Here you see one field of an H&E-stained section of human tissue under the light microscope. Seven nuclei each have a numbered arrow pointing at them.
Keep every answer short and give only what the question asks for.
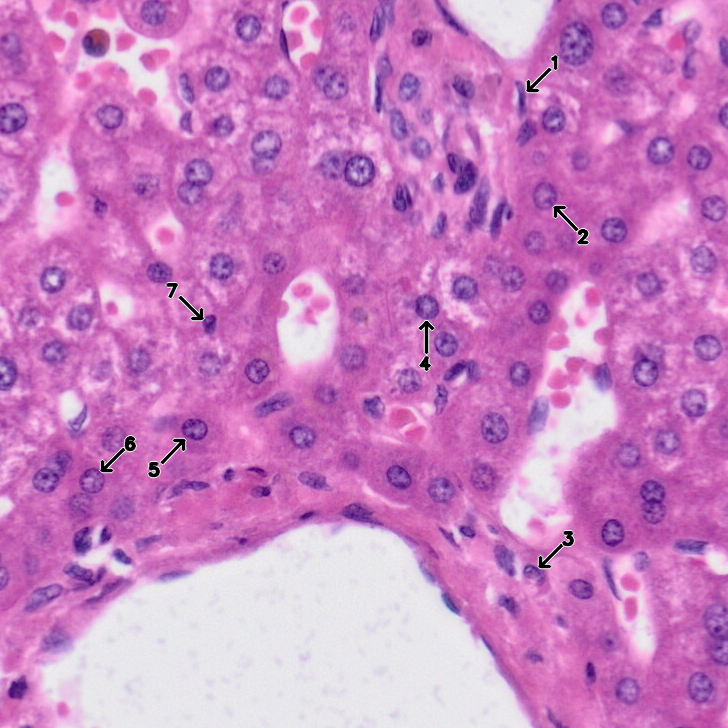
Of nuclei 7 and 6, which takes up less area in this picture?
7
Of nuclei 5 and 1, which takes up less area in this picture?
1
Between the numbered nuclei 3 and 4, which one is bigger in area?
4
